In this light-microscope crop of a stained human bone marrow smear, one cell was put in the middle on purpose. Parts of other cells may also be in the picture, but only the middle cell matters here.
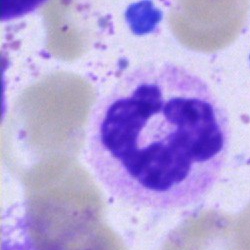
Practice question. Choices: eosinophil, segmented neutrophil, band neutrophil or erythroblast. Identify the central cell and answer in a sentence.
The cell centred in this crop is categorized as a segmented neutrophil.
